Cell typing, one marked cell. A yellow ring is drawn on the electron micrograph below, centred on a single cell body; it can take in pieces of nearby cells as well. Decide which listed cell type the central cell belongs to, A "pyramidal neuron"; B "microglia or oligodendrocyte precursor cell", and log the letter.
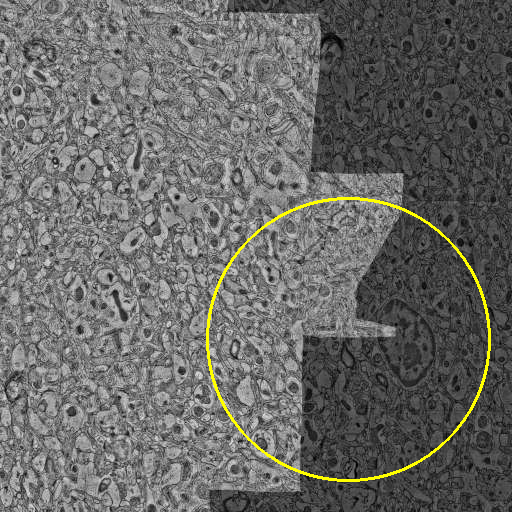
B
